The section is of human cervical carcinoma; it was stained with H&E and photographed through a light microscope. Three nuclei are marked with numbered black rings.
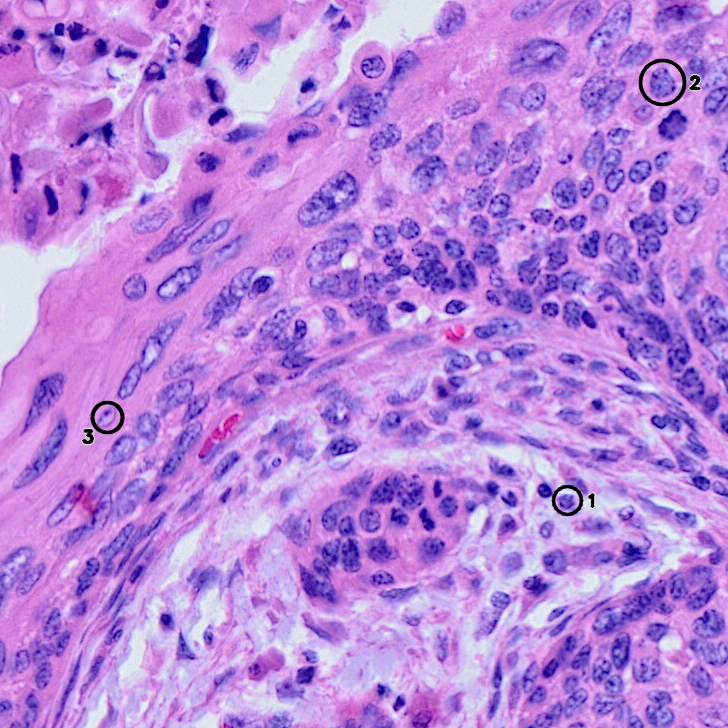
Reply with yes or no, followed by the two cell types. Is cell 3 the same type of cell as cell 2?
Yes, both are squamous carcinoma cells.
